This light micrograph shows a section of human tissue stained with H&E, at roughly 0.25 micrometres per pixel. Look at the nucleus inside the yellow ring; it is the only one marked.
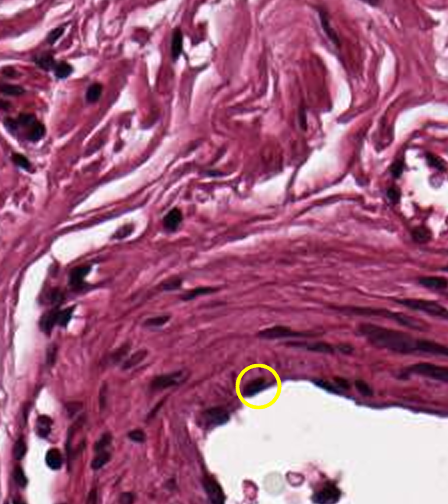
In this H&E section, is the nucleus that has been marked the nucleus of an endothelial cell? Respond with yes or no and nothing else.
yes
